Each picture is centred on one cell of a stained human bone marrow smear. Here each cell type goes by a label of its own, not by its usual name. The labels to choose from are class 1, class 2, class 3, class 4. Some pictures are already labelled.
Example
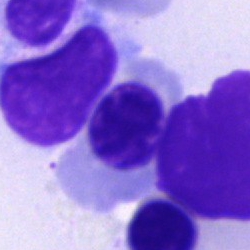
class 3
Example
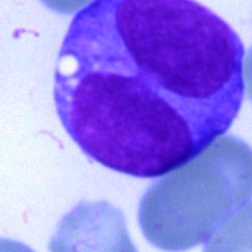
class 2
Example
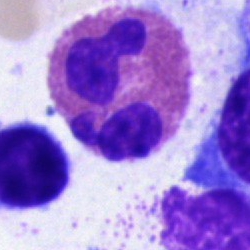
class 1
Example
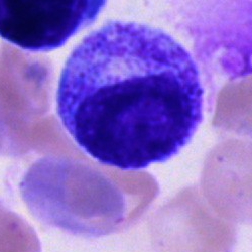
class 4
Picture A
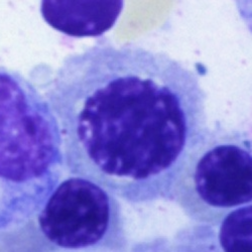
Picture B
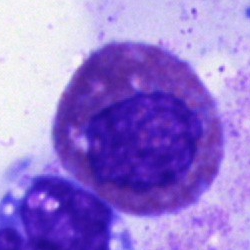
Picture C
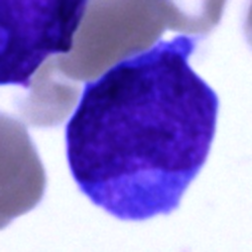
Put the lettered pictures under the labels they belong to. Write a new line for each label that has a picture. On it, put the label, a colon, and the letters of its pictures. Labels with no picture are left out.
class 1: B
class 2: C
class 3: A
